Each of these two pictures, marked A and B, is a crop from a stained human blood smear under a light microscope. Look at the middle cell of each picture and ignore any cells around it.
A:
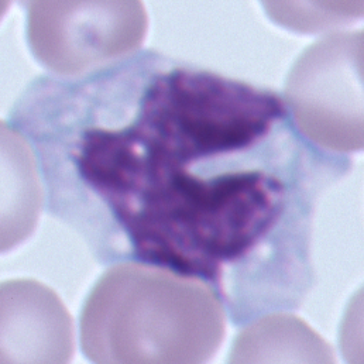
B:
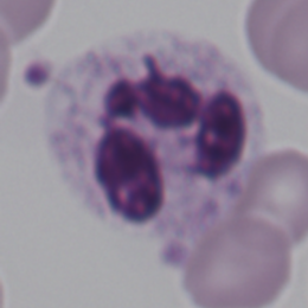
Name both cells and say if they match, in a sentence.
No, within crop A lies a monocyte, and within crop B lies a segmented neutrophil.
